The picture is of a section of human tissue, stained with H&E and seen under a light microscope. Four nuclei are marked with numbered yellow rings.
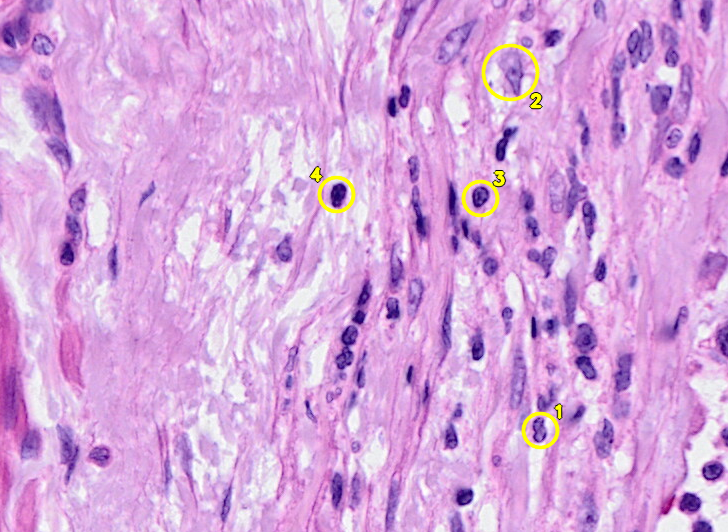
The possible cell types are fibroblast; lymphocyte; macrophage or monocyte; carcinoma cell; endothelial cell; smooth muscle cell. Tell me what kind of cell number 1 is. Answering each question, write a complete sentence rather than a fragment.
Classified as a lymphocyte is the cell with the number 1.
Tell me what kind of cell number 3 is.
The numeral 3 marks a lymphocyte in this section.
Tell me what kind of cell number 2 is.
Cell 2 in the field is a fibroblast.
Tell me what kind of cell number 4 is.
The cell referenced by the number 4 is a lymphocyte in this field.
